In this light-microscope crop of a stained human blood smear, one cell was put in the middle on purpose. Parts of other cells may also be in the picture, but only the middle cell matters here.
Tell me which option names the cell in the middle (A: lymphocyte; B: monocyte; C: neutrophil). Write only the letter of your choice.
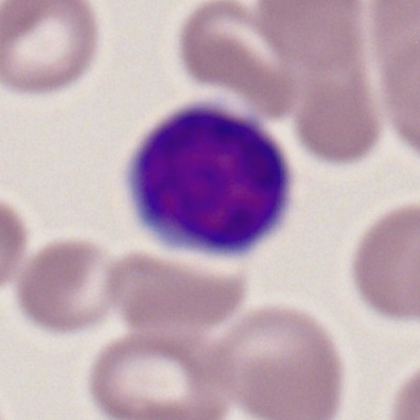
A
